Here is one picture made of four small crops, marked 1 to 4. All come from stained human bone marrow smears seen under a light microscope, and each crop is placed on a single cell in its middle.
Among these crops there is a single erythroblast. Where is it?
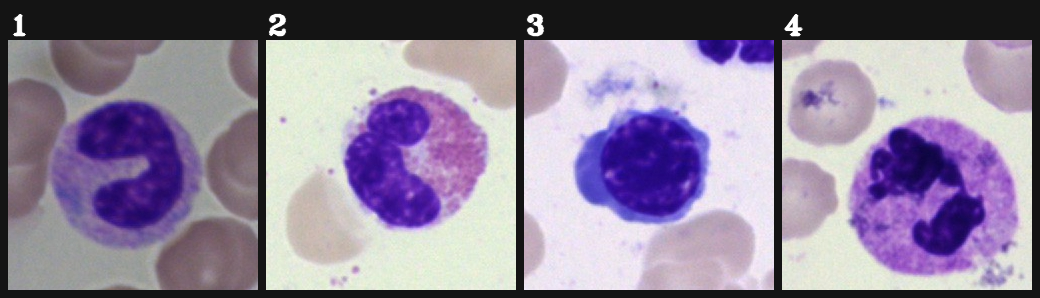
3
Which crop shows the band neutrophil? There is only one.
1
